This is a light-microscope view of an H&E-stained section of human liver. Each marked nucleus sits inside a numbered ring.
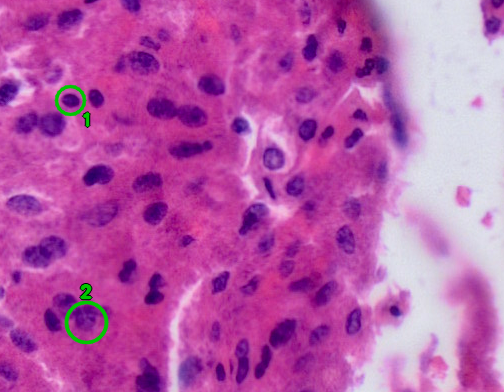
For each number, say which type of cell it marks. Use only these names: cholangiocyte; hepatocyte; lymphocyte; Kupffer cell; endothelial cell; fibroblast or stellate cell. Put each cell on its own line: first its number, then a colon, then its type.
1: lymphocyte
2: hepatocyte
